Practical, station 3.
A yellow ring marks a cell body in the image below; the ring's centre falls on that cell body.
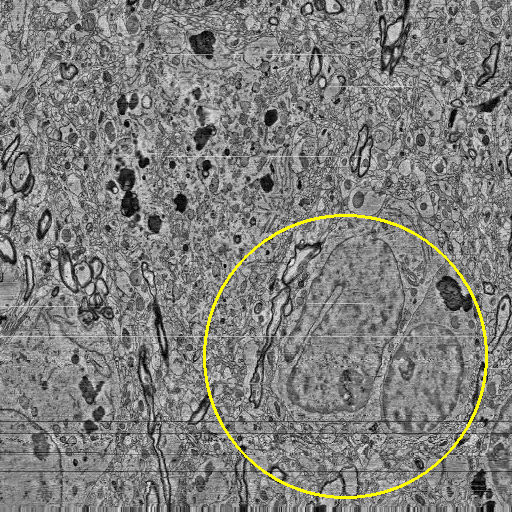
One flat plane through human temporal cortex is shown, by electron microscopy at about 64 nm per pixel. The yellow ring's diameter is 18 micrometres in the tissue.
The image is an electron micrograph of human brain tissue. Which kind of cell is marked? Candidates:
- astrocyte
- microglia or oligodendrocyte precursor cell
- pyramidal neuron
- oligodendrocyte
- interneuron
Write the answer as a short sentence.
The marked cell body is that of an interneuron.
